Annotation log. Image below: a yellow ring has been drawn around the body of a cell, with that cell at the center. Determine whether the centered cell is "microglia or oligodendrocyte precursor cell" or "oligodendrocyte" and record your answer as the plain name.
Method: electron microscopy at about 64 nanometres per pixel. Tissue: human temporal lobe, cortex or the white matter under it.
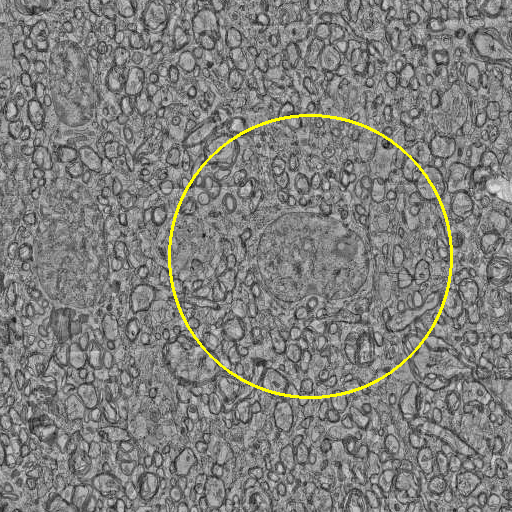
microglia or oligodendrocyte precursor cell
